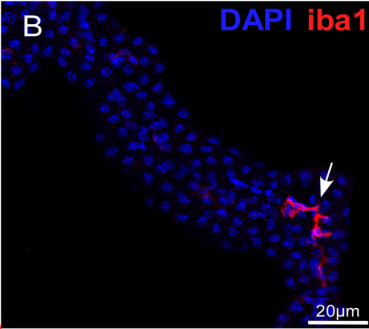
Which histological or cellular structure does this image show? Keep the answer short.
Choroid plexus.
